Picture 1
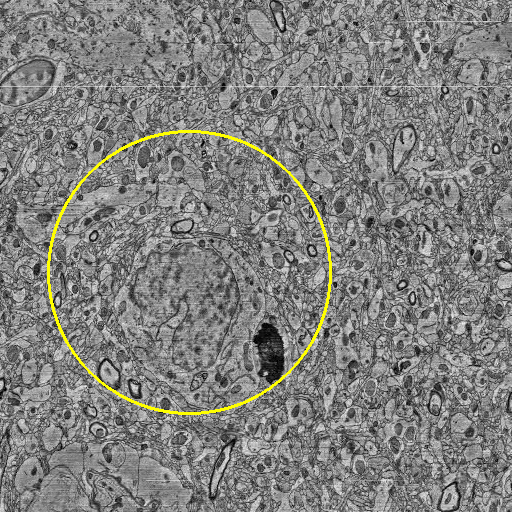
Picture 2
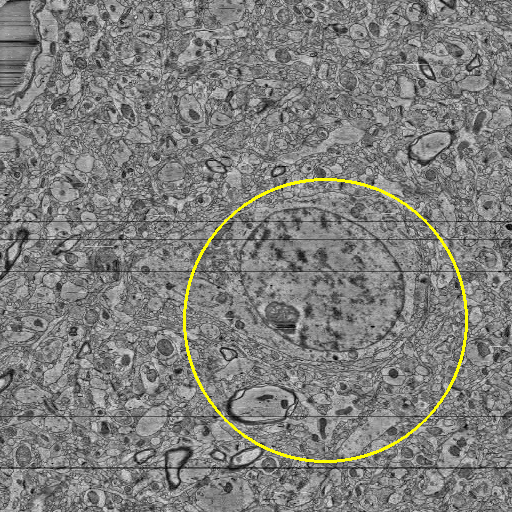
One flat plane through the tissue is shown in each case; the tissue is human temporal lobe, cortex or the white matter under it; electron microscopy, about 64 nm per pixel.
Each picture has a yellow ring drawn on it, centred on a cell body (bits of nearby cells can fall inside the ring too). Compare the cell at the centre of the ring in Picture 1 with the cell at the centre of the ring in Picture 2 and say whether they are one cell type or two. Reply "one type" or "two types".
one type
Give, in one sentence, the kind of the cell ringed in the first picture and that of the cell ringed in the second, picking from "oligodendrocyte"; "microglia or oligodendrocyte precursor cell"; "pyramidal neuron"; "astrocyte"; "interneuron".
In each picture the ringed cell is a pyramidal neuron.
